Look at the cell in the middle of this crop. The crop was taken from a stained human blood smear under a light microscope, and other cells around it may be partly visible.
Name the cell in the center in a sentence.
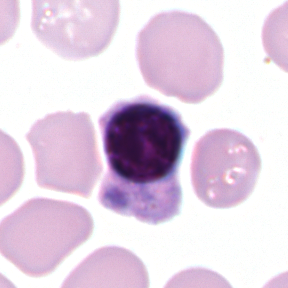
Positioned in the middle of the crop is a normoblast.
